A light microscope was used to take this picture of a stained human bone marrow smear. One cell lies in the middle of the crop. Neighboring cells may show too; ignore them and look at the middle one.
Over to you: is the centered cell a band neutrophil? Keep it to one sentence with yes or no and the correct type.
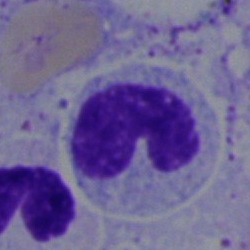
Yes, the cell sitting in the center is a band neutrophil.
